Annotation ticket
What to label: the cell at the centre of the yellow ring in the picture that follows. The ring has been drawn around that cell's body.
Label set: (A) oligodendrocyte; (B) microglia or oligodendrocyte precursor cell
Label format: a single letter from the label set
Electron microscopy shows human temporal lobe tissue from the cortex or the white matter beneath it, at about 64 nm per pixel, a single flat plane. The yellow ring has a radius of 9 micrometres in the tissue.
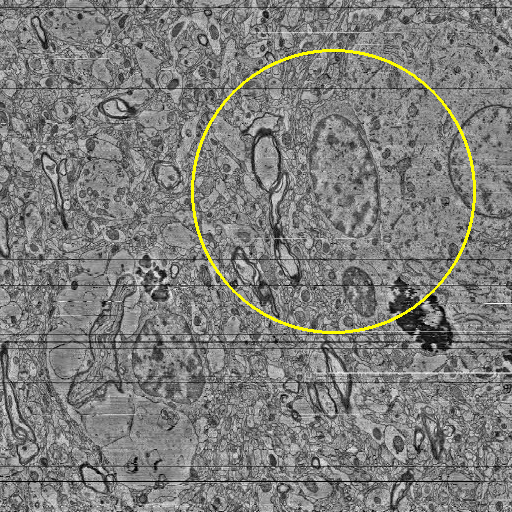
A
